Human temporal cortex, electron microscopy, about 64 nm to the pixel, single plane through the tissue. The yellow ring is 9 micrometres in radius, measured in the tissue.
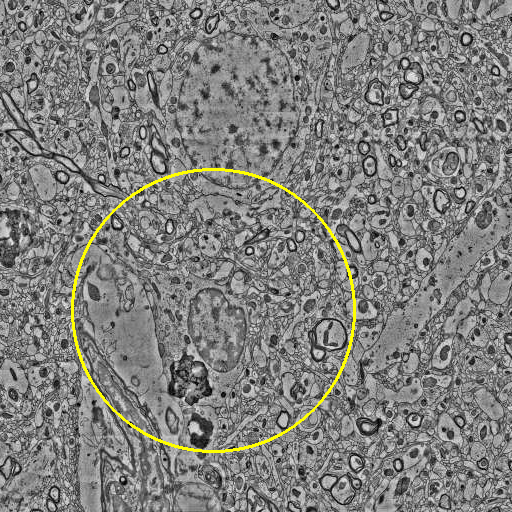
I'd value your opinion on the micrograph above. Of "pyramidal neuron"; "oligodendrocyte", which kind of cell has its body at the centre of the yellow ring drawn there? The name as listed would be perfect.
oligodendrocyte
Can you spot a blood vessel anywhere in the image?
Yes, a blood vessel can be seen.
